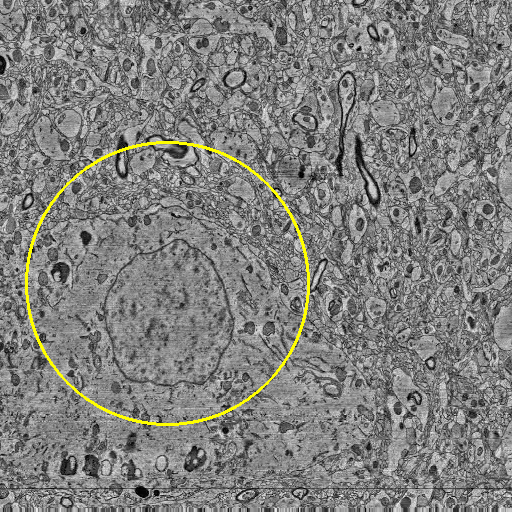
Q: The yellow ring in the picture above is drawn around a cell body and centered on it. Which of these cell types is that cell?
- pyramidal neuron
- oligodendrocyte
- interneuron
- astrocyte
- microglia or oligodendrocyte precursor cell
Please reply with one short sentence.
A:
The cell body at the ring's center belongs to a pyramidal neuron.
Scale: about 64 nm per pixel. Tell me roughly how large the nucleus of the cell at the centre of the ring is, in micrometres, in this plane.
In this plane the nucleus is about 9 micrometres across.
